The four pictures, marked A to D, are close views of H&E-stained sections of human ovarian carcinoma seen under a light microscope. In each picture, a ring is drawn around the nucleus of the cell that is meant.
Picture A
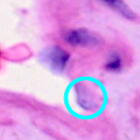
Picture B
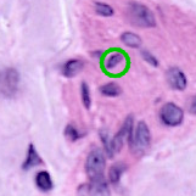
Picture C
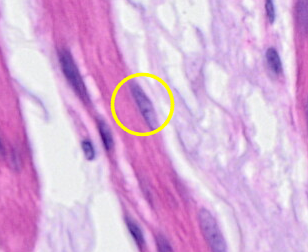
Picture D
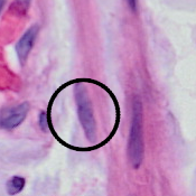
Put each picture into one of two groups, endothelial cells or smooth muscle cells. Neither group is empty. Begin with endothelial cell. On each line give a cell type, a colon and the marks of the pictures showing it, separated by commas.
endothelial cell: A
smooth muscle cell: B, C, D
